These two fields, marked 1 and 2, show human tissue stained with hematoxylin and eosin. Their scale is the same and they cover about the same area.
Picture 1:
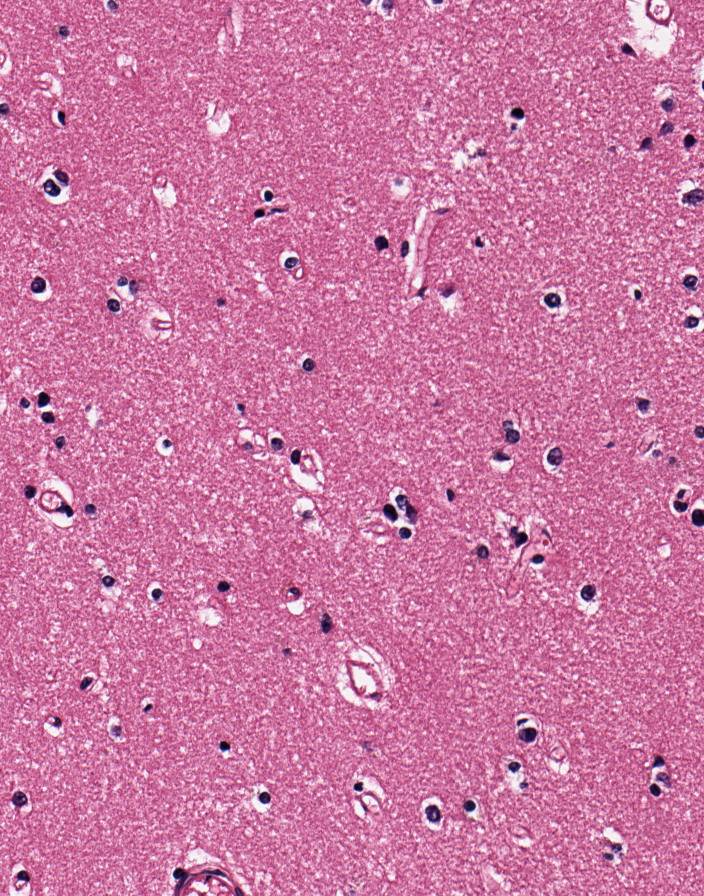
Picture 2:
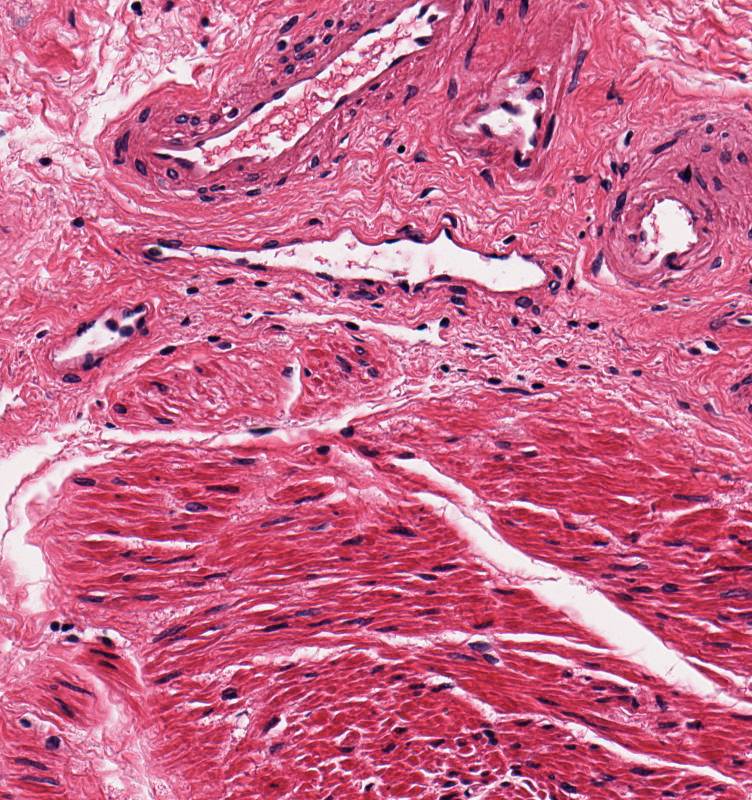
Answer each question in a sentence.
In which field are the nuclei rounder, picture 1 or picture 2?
It is picture 1 whose nuclei are the rounder.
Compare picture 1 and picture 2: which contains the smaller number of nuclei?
It is picture 1 that has fewer nuclei in it.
